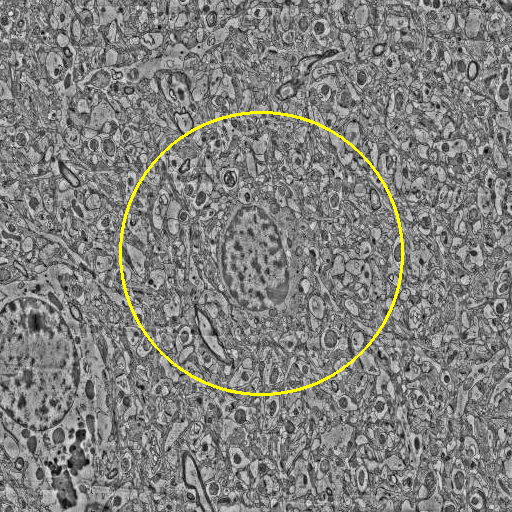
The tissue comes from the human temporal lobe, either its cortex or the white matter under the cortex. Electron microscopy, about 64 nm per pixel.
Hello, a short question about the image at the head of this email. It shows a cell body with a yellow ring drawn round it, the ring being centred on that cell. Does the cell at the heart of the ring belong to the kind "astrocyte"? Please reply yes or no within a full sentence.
No, the cell at the heart of the ring in that image is of a different kind.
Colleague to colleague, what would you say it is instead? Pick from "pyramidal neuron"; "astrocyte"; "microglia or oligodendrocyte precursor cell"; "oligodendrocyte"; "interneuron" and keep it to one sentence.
It is an oligodendrocyte that the ring is centred on.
